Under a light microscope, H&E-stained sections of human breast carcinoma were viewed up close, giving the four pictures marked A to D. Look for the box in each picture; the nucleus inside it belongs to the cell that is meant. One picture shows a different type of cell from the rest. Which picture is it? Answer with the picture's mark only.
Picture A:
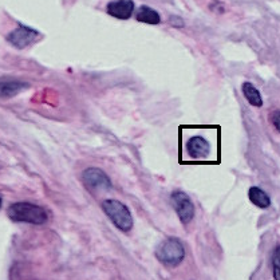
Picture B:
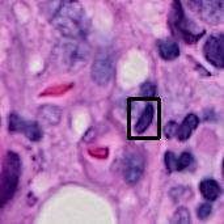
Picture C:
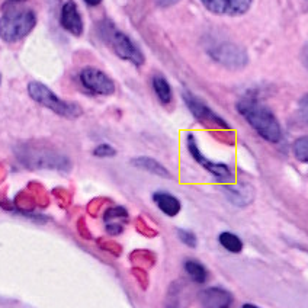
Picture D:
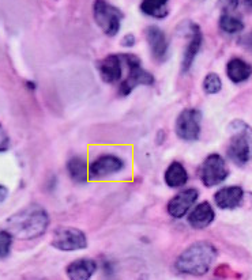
C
